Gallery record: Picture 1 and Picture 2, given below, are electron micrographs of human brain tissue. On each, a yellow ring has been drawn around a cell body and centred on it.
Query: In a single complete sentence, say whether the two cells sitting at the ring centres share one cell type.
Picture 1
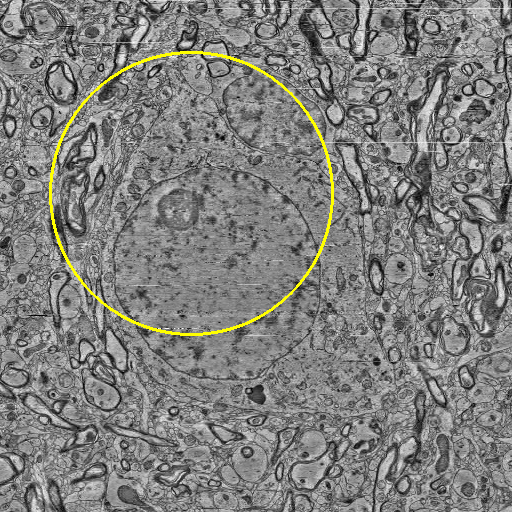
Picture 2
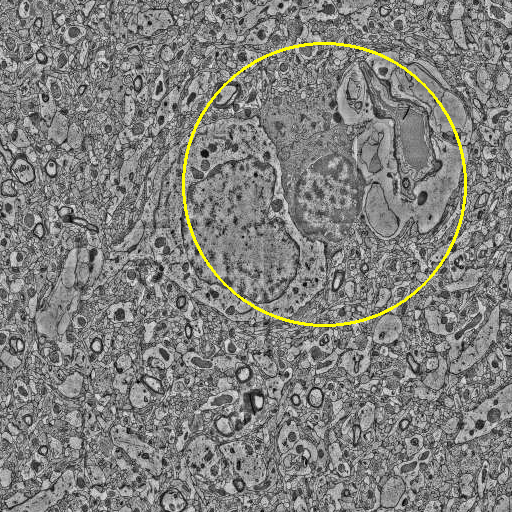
No, in the two pictures the cells at the rings' centres are of two separate types.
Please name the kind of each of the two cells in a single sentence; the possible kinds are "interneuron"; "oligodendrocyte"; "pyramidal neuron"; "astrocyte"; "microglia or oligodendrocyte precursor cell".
In the first picture the ring is centred on a pyramidal neuron, and in the second on an oligodendrocyte.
